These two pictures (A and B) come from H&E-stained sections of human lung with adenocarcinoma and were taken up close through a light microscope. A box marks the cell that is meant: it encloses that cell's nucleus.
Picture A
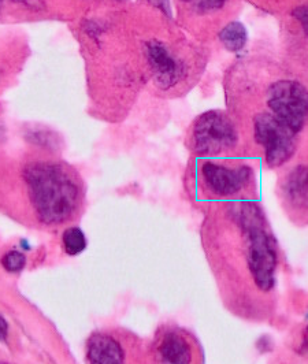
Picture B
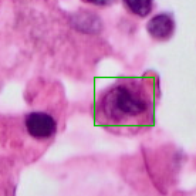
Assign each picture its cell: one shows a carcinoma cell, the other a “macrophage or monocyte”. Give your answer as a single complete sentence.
Picture A shows a carcinoma cell and picture B shows a “macrophage or monocyte”.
